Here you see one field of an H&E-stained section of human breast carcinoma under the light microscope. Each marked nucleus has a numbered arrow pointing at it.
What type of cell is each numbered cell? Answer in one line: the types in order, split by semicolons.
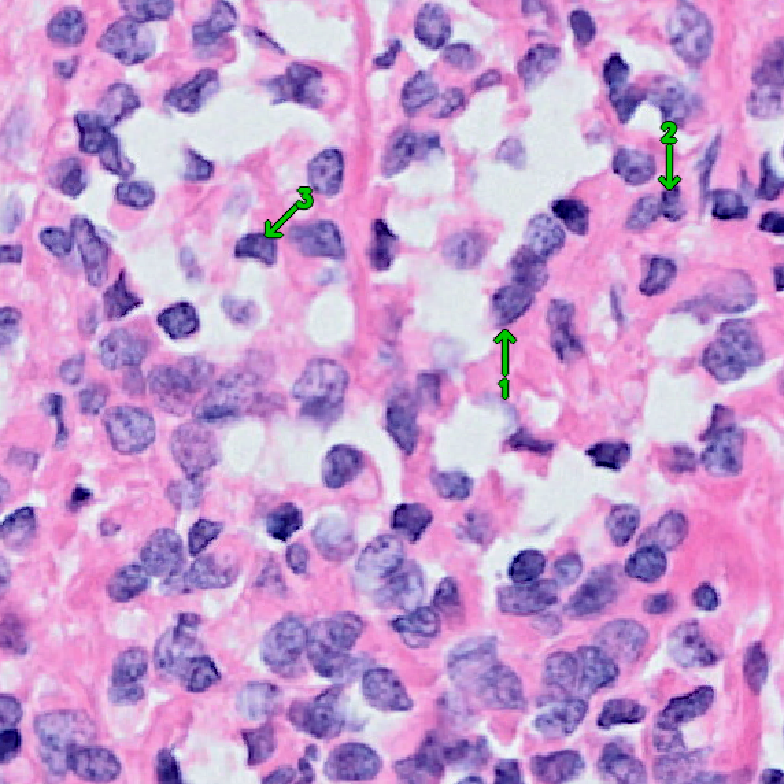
carcinoma cell; endothelial cell; carcinoma cell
